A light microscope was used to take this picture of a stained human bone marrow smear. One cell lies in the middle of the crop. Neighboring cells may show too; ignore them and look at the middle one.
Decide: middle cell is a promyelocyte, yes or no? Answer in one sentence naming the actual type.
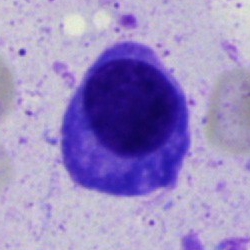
No, at the centre of this crop is found a plasma cell instead of a promyelocyte.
